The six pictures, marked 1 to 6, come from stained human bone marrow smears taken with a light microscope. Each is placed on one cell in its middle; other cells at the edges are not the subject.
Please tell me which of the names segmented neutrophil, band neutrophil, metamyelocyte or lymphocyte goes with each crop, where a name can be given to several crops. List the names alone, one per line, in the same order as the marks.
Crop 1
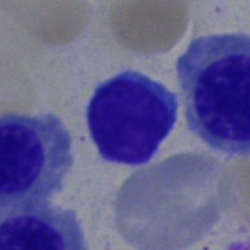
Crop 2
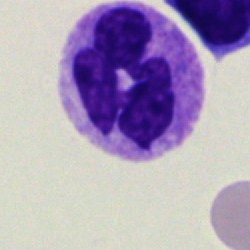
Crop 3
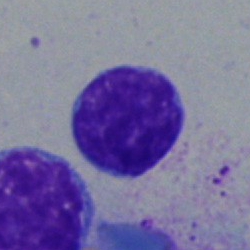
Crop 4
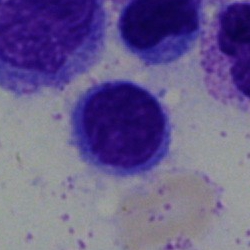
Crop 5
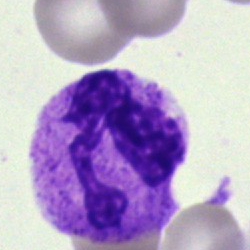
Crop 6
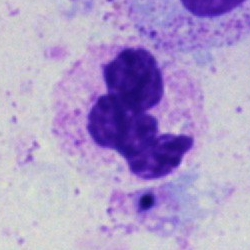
lymphocyte
segmented neutrophil
lymphocyte
lymphocyte
segmented neutrophil
segmented neutrophil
